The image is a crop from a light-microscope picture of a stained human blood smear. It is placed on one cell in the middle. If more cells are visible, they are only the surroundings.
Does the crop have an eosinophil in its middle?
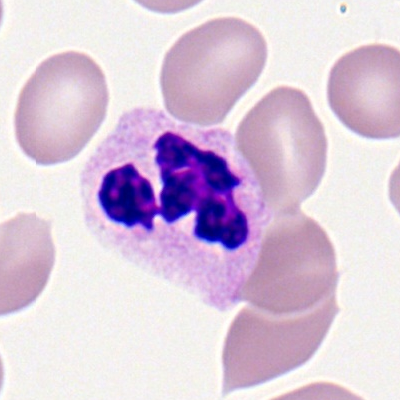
no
